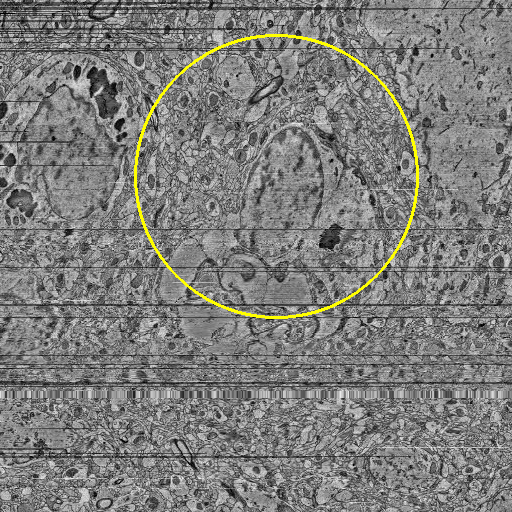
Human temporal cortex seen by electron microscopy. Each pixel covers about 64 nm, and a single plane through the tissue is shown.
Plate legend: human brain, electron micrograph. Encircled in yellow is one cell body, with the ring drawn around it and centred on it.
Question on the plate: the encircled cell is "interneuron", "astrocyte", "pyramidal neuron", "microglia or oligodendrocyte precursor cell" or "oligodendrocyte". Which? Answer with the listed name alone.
microglia or oligodendrocyte precursor cell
